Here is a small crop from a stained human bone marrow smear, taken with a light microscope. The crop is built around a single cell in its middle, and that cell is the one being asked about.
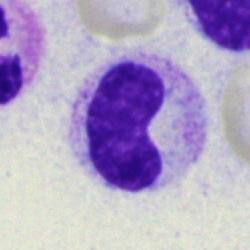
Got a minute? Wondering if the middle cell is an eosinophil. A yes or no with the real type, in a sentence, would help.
No, the cell placed at the center is a band neutrophil rather than an eosinophil.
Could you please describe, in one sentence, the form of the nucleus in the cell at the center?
If you check the nucleus, you will find one compact mass, round, oval or kidney-shaped.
